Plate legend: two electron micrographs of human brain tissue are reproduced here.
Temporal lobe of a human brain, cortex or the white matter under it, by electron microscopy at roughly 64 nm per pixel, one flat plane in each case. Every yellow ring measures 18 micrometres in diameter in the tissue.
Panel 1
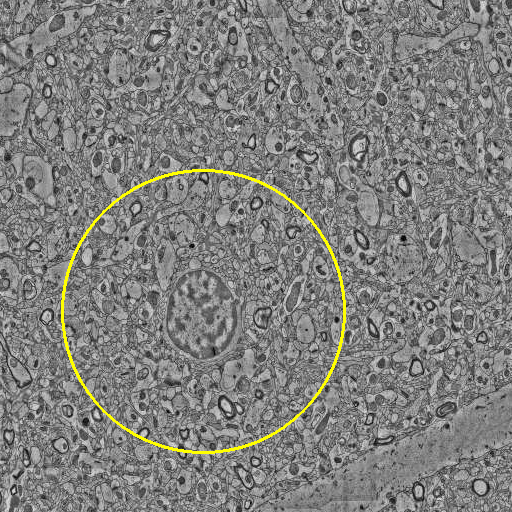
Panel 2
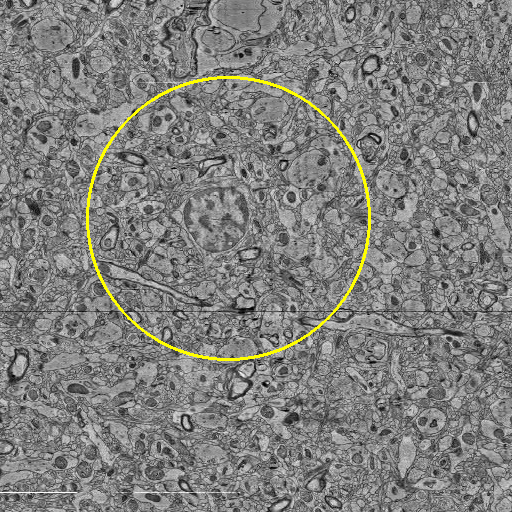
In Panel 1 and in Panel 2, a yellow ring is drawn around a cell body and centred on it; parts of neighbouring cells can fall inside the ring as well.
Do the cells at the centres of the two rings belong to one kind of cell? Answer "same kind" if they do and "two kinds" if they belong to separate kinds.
two kinds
